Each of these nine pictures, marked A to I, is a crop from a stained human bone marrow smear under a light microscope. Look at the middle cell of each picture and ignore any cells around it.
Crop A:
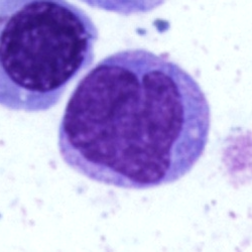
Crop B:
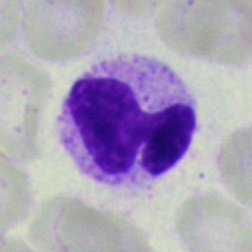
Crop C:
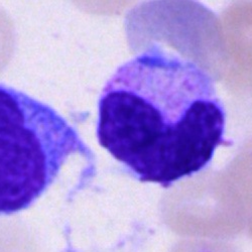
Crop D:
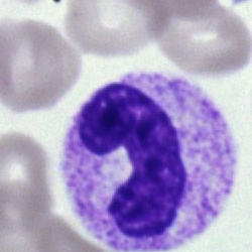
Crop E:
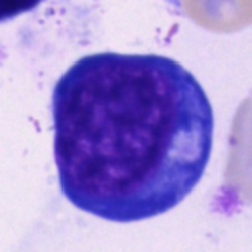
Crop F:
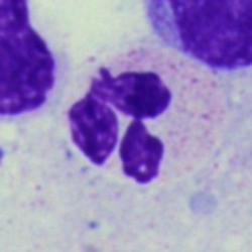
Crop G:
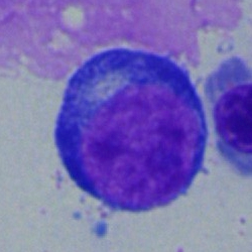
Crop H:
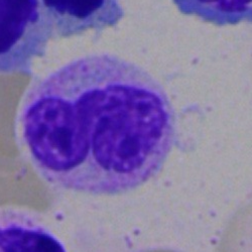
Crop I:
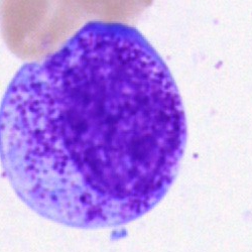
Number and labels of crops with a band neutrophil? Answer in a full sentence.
Since crops B, C, D and H show band neutrophils, the count of such crops is four.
